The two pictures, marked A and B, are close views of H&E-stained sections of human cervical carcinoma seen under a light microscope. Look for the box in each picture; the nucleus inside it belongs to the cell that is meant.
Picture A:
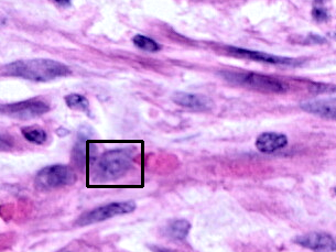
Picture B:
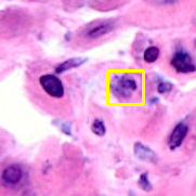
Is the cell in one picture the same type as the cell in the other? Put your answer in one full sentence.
No, they differ: the cell is an endothelial cell in picture A and a “macrophage or monocyte” in picture B.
